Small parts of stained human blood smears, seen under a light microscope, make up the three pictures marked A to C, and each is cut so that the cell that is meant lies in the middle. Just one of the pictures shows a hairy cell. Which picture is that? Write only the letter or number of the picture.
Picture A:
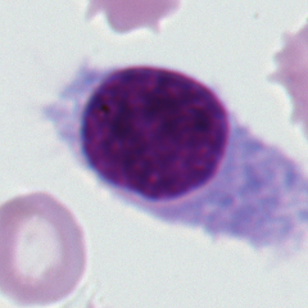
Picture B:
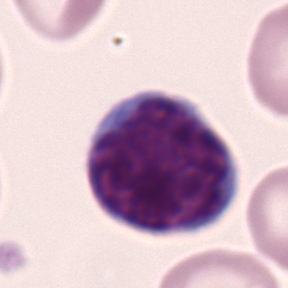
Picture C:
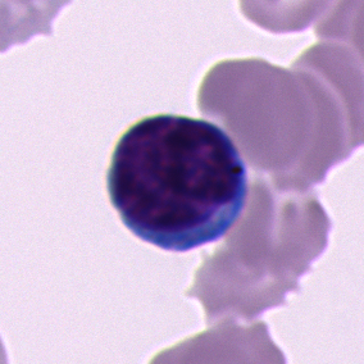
A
